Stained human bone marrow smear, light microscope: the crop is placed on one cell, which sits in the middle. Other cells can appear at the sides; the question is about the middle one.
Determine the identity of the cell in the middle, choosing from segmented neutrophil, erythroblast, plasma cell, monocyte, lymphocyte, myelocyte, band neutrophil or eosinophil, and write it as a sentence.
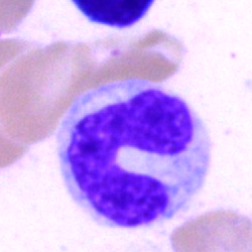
The cell occupying the middle of the crop is a band neutrophil.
